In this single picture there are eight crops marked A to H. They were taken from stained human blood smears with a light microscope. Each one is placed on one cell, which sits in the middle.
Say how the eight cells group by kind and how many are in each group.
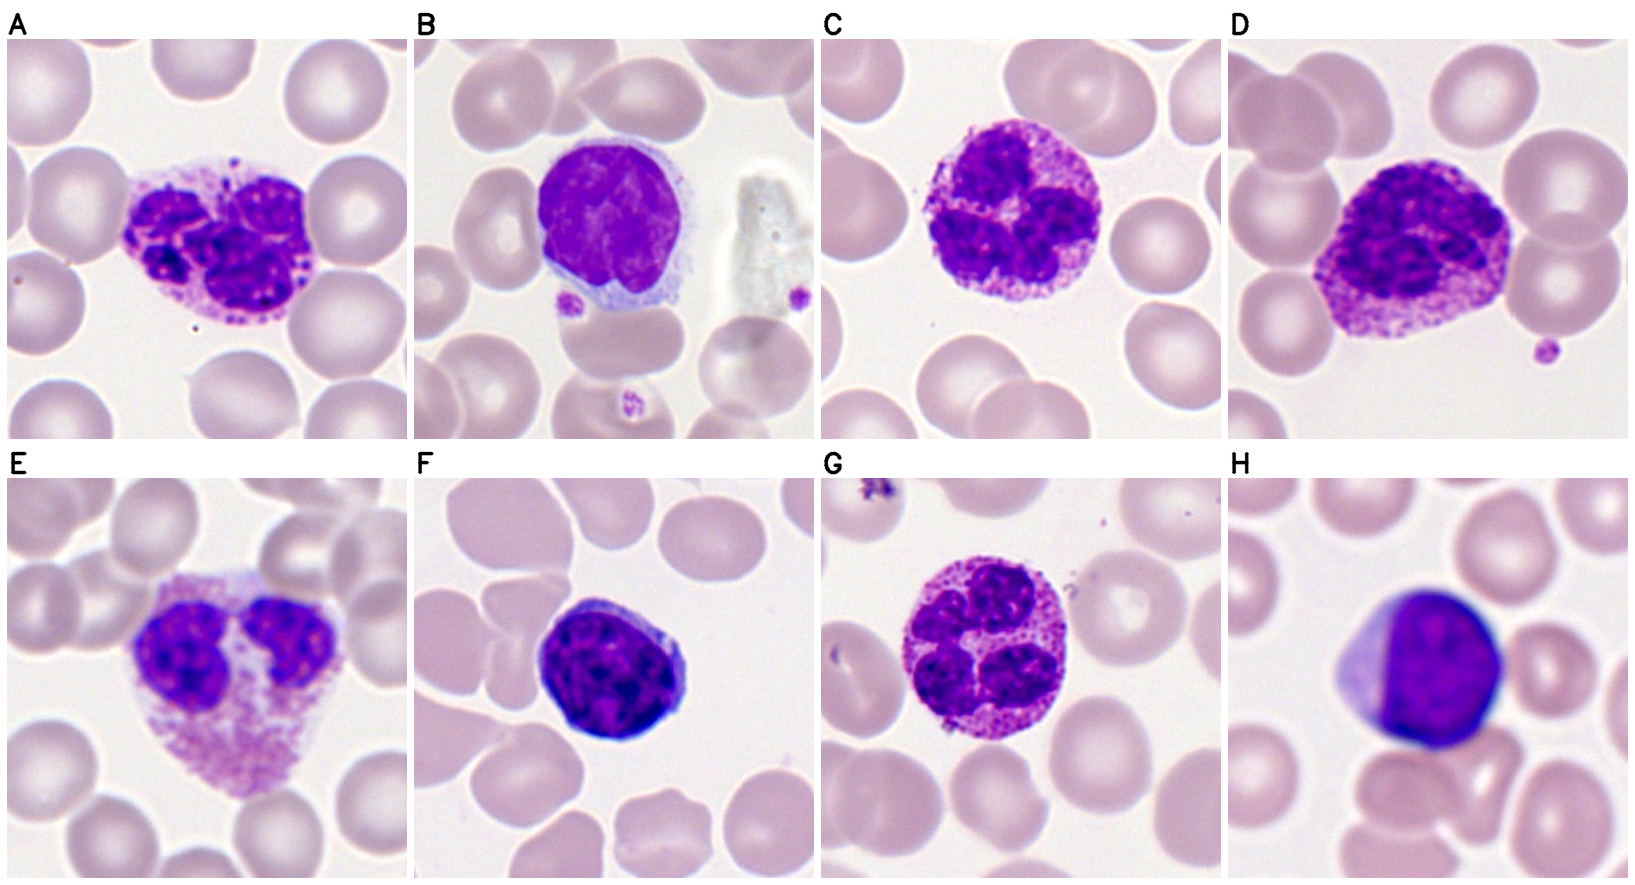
basophil: 3
lymphocyte: 3
eosinophil: 2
